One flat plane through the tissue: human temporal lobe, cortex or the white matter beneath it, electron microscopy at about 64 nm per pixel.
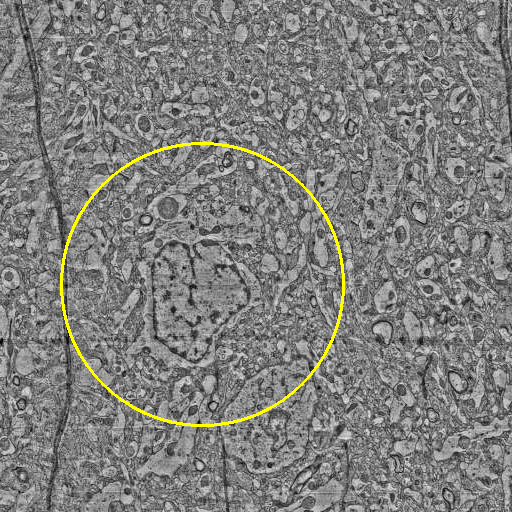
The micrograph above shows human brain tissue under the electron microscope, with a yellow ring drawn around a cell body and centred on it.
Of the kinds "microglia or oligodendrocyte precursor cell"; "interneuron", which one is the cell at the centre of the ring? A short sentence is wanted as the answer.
The one at the centre of the ring is a microglial cell or oligodendrocyte precursor cell.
